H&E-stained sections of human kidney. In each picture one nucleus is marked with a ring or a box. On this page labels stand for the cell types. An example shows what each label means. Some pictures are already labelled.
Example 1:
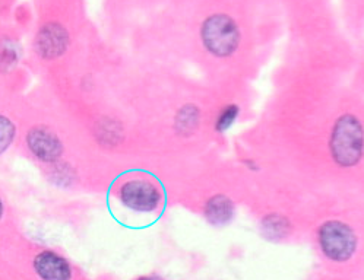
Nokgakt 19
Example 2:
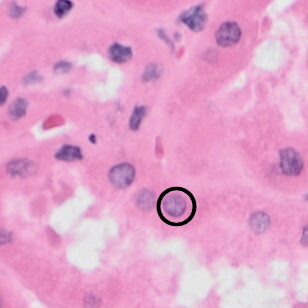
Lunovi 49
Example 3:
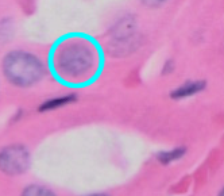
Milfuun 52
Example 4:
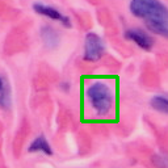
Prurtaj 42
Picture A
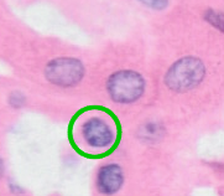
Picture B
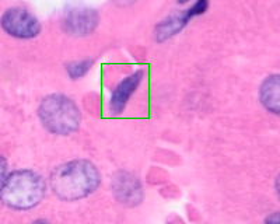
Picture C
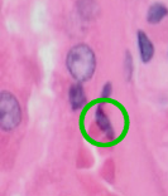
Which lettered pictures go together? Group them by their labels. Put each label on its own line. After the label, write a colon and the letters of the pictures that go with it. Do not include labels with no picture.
Nokgakt 19: A
Prurtaj 42: B, C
